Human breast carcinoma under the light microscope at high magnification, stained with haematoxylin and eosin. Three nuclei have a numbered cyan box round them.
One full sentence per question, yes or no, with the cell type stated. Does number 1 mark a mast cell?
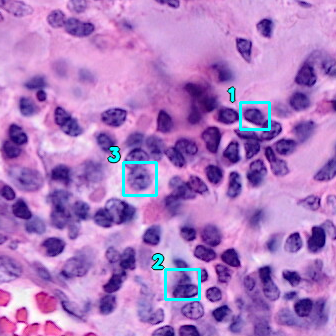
No, cell 1 is correctly identified as a lymphocyte and not as a mast cell.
